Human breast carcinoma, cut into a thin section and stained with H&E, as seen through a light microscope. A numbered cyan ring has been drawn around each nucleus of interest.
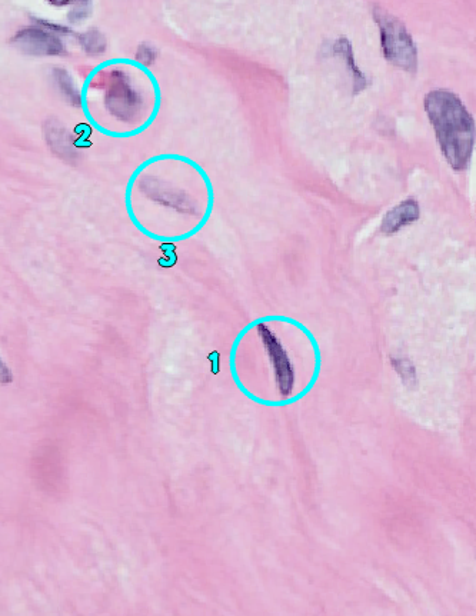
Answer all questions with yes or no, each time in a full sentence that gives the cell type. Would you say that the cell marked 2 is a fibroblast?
No, cell 2 has been misnamed; it is an endothelial cell, not a fibroblast.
